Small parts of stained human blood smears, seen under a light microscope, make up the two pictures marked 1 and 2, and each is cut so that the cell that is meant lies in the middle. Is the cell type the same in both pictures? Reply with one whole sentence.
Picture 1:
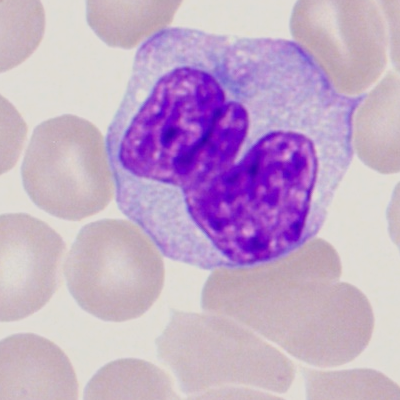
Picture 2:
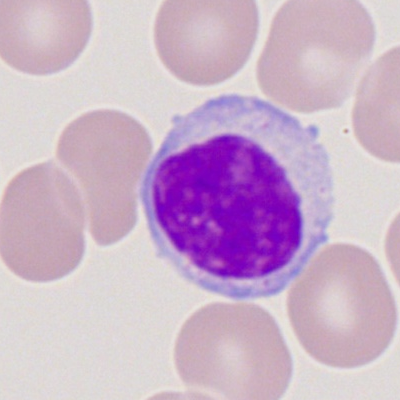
No. Picture 1 shows a monocyte, but picture 2 shows a lymphocyte.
